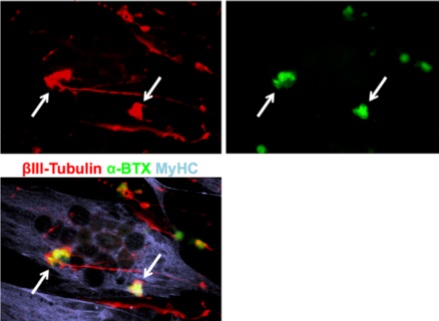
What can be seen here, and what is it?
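Neurons with small cell bodies and long, thin processes lie on top of broad, elongated myotubes. The myotubes lie side by side across the field, and one holds a cluster of many round dark gaps, consistent with multiple nuclei. Compact green clusters lie at several points, and some of them coincide with red neuronal swellings or processes on the myotubes, where the overlap appears yellow.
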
